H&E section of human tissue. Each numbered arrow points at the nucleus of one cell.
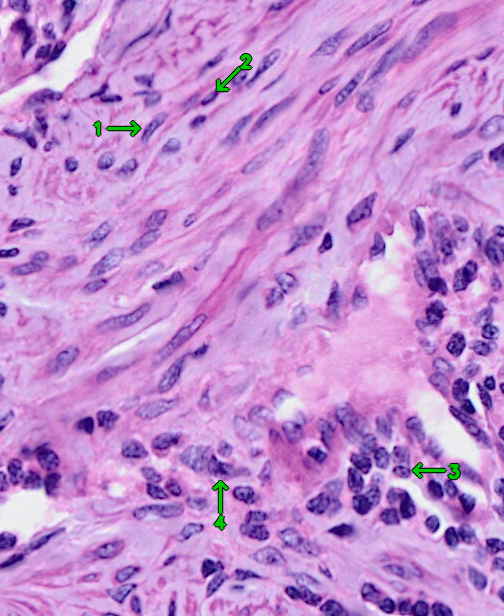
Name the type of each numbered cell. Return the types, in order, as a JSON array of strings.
["smooth muscle cell", "smooth muscle cell", "lymphocyte", "lymphocyte"]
